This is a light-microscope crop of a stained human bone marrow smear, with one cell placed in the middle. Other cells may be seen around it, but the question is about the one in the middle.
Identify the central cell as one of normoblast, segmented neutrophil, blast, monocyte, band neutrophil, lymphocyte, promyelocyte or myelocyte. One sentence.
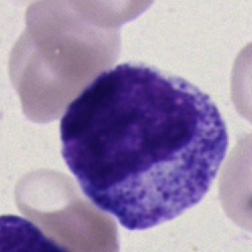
Answering briefly, the cell in the middle is a myelocyte.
